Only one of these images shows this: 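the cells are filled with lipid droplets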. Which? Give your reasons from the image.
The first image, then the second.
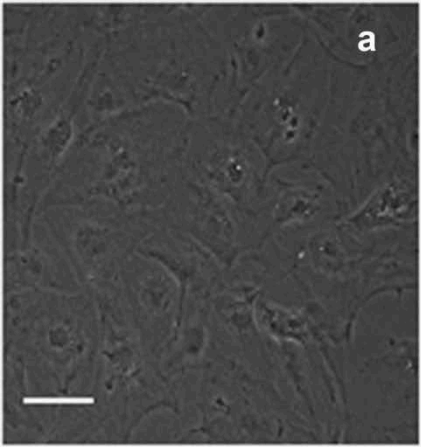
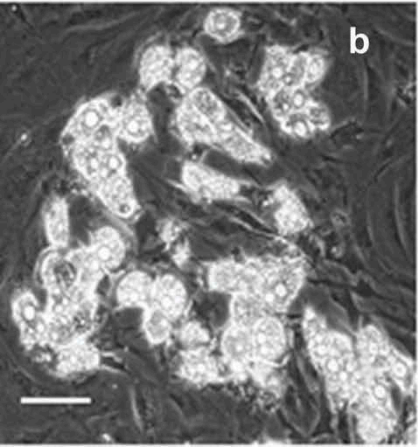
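Second image: clusters of rounded cells packed with bright round droplets.
Hence: the second image.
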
